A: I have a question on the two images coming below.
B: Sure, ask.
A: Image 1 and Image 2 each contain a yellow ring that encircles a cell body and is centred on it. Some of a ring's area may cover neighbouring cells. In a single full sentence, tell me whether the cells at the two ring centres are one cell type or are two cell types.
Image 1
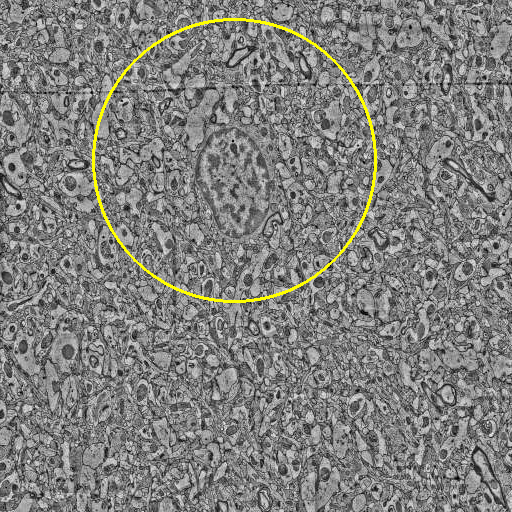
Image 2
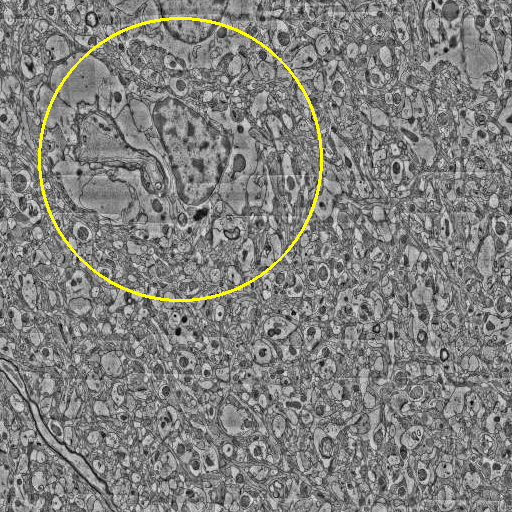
As for the ring-centre cells, the one in Image 1 and the one in Image 2 are two cell types.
